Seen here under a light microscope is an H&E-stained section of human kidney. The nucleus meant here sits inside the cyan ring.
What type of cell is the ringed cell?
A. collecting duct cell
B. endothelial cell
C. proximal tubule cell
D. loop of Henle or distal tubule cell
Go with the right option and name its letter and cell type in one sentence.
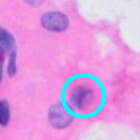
The correct option here, C, identifies the ringed cell as a proximal tubule cell.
